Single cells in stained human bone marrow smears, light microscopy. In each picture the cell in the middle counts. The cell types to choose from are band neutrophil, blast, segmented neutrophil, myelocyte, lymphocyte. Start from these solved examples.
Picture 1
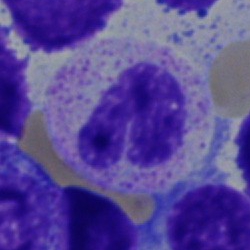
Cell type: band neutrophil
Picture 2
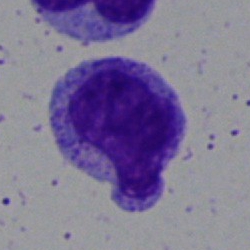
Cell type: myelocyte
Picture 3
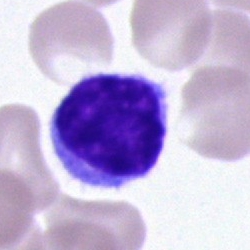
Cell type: lymphocyte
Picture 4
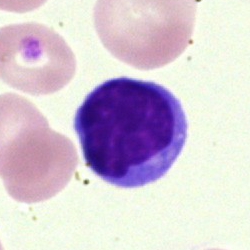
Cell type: lymphocyte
